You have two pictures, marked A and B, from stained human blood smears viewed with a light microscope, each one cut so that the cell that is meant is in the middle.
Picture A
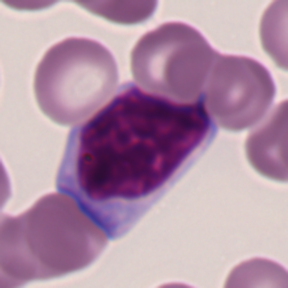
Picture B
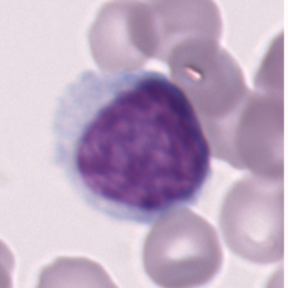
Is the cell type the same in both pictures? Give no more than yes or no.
no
